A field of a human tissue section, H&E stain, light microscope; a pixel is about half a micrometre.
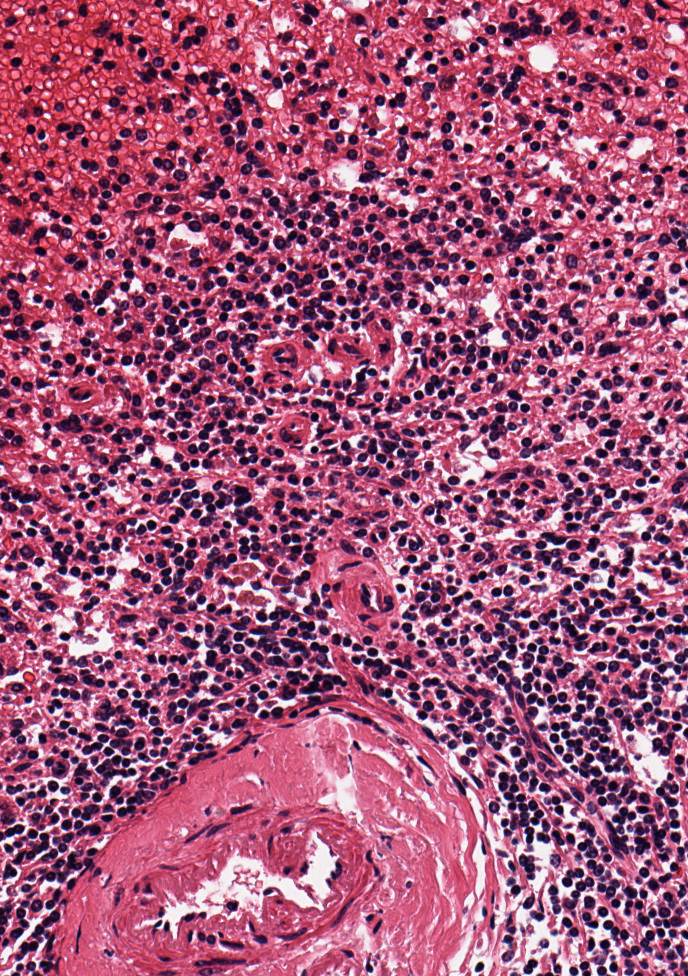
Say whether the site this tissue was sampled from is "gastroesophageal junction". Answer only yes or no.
no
